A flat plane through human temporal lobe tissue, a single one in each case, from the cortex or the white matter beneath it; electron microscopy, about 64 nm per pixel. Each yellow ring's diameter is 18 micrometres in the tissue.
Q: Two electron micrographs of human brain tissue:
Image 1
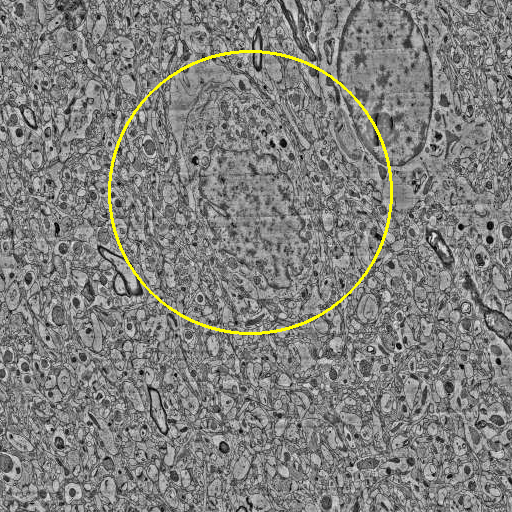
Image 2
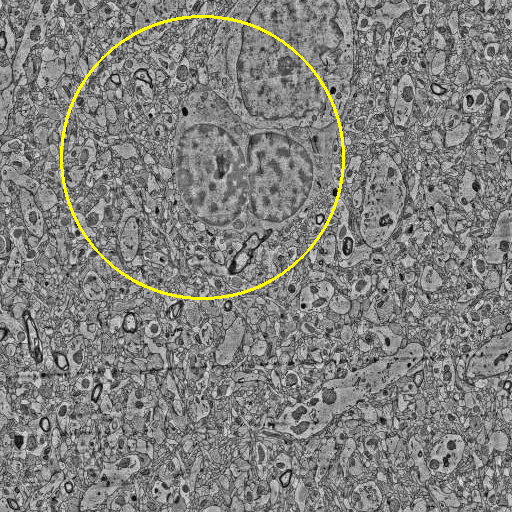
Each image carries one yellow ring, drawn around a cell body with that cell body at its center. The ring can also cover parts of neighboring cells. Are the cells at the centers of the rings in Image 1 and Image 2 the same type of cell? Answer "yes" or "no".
no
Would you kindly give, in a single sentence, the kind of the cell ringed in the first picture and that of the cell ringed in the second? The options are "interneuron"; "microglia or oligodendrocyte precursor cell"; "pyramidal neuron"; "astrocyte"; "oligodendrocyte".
The second cell is an oligodendrocyte, and the first cell is an interneuron.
